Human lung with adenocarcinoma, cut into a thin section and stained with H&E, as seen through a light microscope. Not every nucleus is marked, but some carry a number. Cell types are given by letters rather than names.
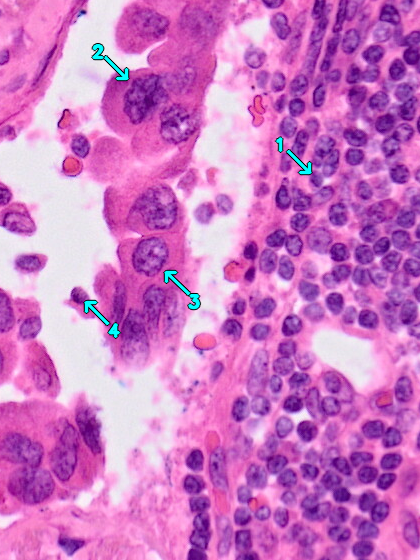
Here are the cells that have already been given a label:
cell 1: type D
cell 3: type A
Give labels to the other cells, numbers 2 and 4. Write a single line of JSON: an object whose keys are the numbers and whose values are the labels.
{"2": "type A", "4": "type D"}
